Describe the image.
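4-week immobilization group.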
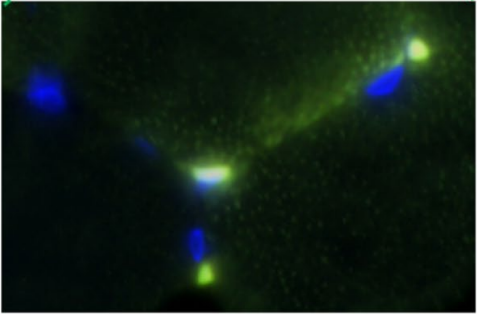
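An enlarged view of the junction of several skeletal muscle fibers in cross section: elongated blue nuclei sit at the fiber edges, and faint green cytoplasm with fine speckles fills the fibers. A brighter green band marks the border between fibers. At the junctions, close beside the blue nuclei, lie a few intensely bright green dots, one almost overlapping a nucleus and another just below one. These bright dots are puncta clustered at the periphery of the muscle fibers near the peripheral nuclei.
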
